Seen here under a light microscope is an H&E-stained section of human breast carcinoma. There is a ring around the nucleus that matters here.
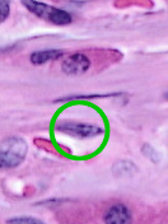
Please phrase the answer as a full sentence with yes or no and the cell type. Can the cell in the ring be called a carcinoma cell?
No, the cell in the ring is an endothelial cell; it is not a carcinoma cell.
